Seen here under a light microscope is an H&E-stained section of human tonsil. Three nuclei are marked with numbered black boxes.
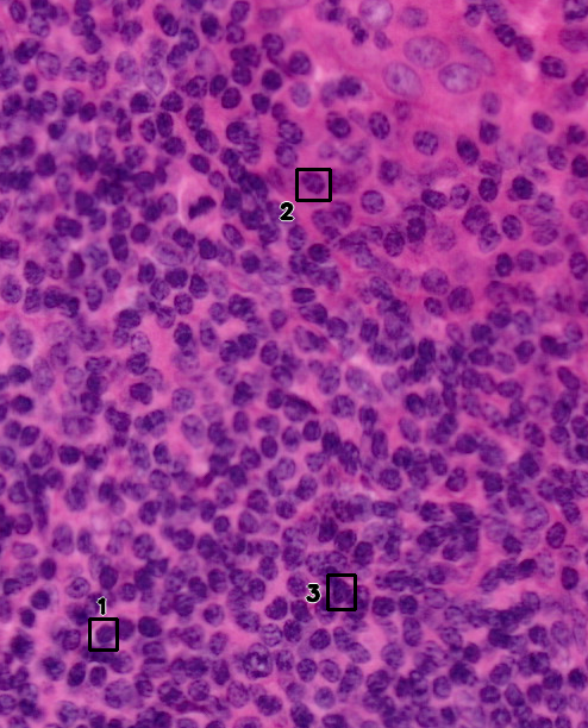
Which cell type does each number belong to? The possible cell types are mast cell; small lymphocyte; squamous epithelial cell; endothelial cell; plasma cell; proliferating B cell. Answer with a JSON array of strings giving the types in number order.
["small lymphocyte", "plasma cell", "small lymphocyte"]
